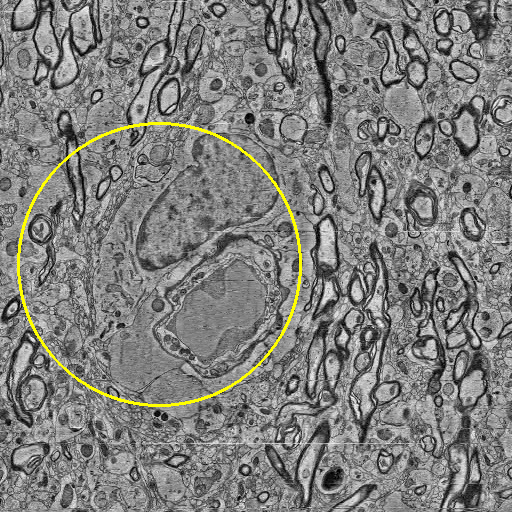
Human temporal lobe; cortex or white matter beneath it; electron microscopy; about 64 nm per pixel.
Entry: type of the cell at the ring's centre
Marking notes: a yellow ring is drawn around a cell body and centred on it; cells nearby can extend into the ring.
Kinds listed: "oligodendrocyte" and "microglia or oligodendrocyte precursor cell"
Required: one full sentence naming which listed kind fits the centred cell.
My entry names a microglial cell or oligodendrocyte precursor cell as the cell whose body the yellow ring centres on.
